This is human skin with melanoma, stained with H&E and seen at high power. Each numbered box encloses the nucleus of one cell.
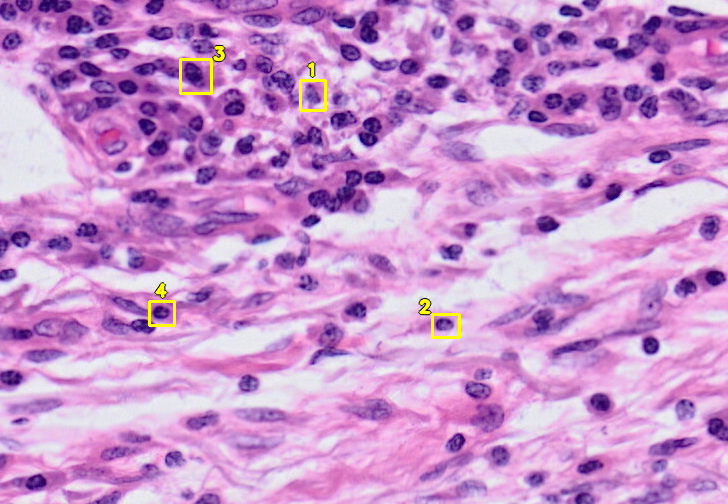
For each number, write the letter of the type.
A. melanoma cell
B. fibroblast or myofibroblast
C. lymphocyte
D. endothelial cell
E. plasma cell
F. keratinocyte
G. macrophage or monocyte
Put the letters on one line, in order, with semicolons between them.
C; E; E; E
